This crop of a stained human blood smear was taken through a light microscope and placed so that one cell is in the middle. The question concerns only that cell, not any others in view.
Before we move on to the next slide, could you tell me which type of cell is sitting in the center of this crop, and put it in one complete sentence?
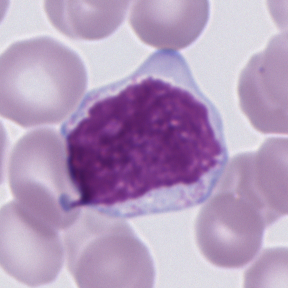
In the crop, the cell of interest at the centre is a large granular lymphocyte.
